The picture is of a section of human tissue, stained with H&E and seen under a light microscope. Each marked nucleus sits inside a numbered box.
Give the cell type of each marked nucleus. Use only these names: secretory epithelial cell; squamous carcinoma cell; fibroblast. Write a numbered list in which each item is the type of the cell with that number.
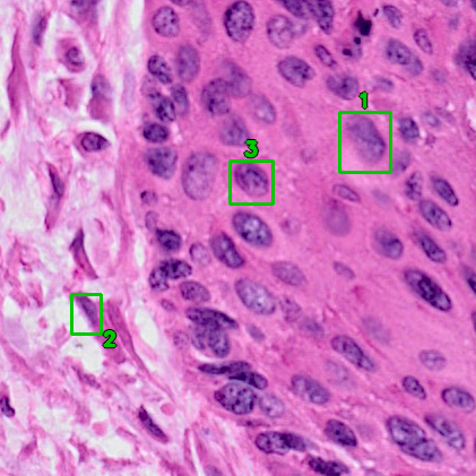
1. squamous carcinoma cell
2. fibroblast
3. squamous carcinoma cell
